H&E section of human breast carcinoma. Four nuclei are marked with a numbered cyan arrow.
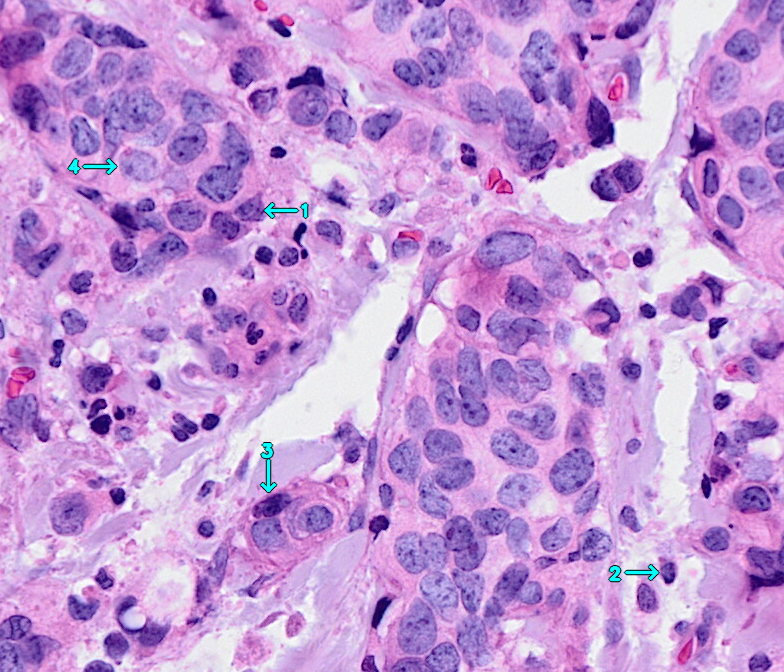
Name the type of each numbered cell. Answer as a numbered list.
1. carcinoma cell
2. lymphocyte
3. carcinoma cell
4. carcinoma cell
